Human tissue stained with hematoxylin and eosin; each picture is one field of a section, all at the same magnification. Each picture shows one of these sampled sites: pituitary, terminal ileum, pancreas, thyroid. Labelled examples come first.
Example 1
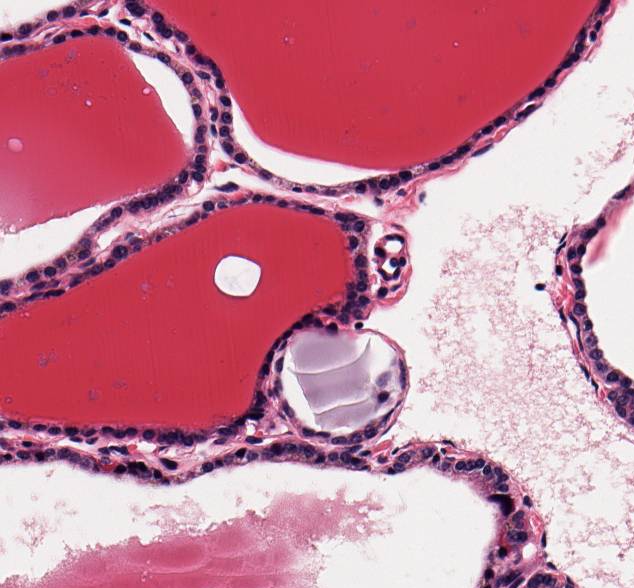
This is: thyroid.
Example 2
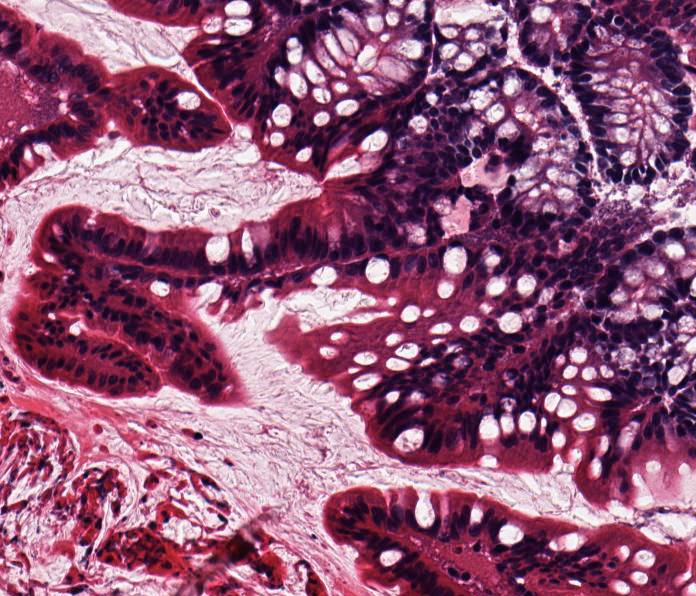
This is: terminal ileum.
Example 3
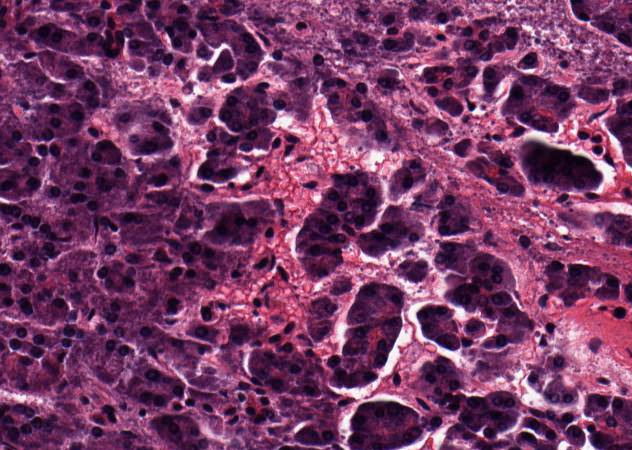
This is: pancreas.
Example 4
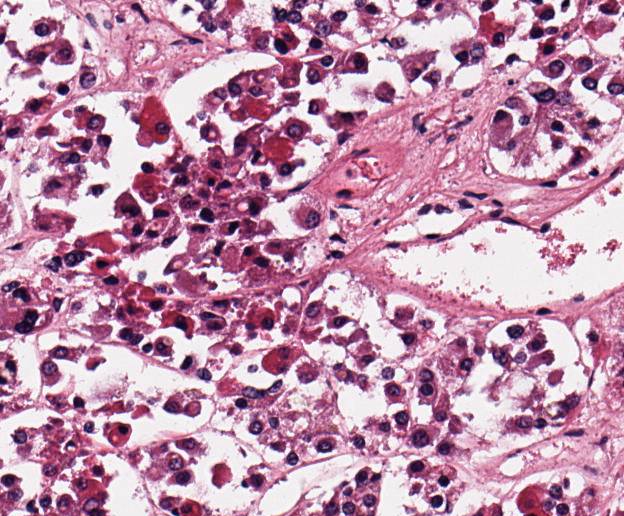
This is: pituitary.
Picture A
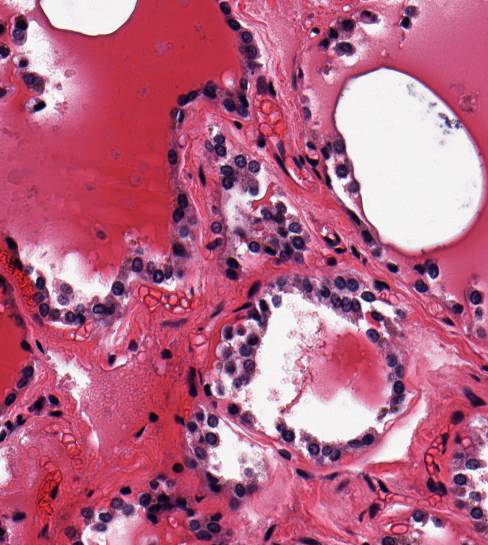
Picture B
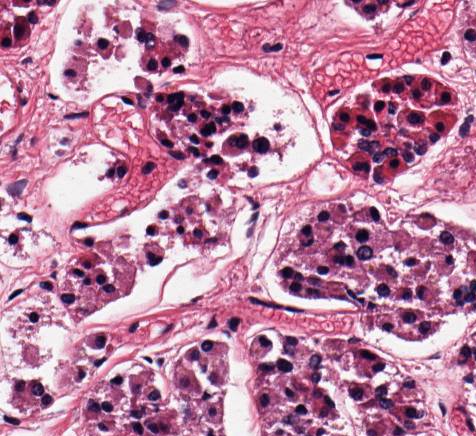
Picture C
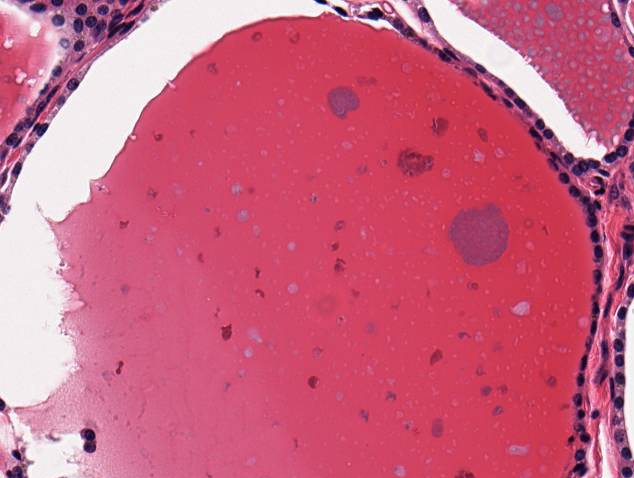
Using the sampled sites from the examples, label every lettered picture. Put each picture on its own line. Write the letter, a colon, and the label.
A: thyroid.
B: pituitary.
C: thyroid.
